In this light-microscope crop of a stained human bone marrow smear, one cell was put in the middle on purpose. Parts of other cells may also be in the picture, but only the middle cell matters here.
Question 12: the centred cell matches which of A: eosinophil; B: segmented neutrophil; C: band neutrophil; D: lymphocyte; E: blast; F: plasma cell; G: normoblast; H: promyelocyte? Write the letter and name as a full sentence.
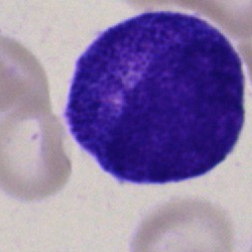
Option H is right in identifying the central cell as a promyelocyte.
